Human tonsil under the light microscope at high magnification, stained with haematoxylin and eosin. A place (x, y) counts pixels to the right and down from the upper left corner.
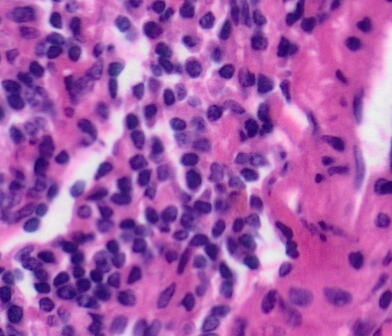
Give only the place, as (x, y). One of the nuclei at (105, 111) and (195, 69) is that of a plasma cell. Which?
(195, 69)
